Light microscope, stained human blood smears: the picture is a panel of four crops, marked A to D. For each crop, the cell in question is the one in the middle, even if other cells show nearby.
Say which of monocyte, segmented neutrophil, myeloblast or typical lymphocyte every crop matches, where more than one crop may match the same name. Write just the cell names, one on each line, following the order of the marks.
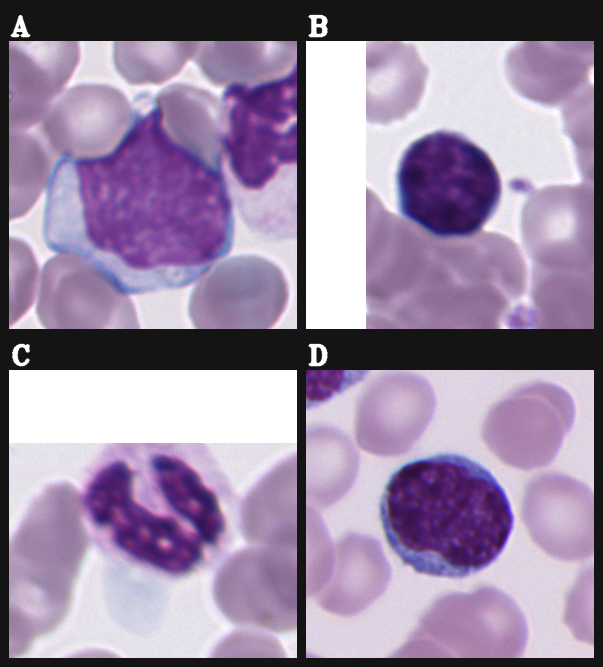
myeloblast
typical lymphocyte
segmented neutrophil
typical lymphocyte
